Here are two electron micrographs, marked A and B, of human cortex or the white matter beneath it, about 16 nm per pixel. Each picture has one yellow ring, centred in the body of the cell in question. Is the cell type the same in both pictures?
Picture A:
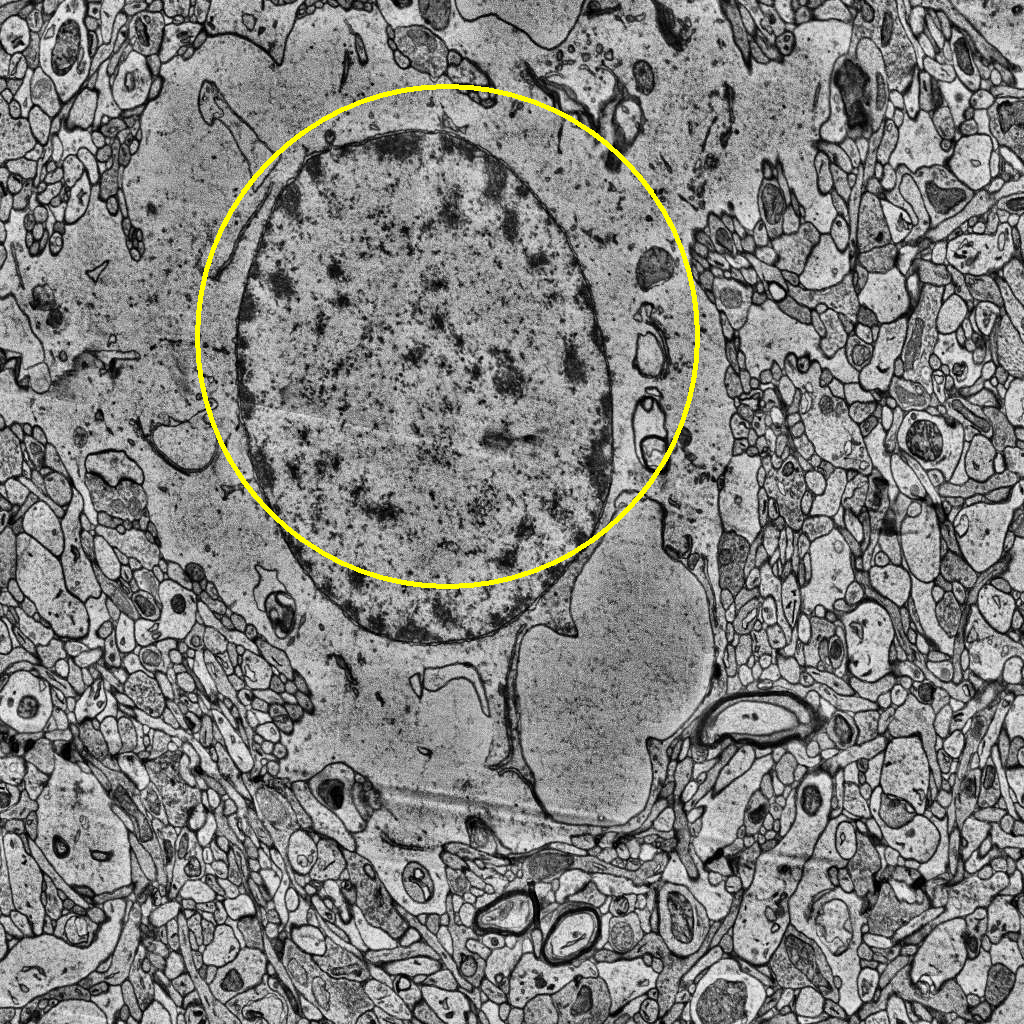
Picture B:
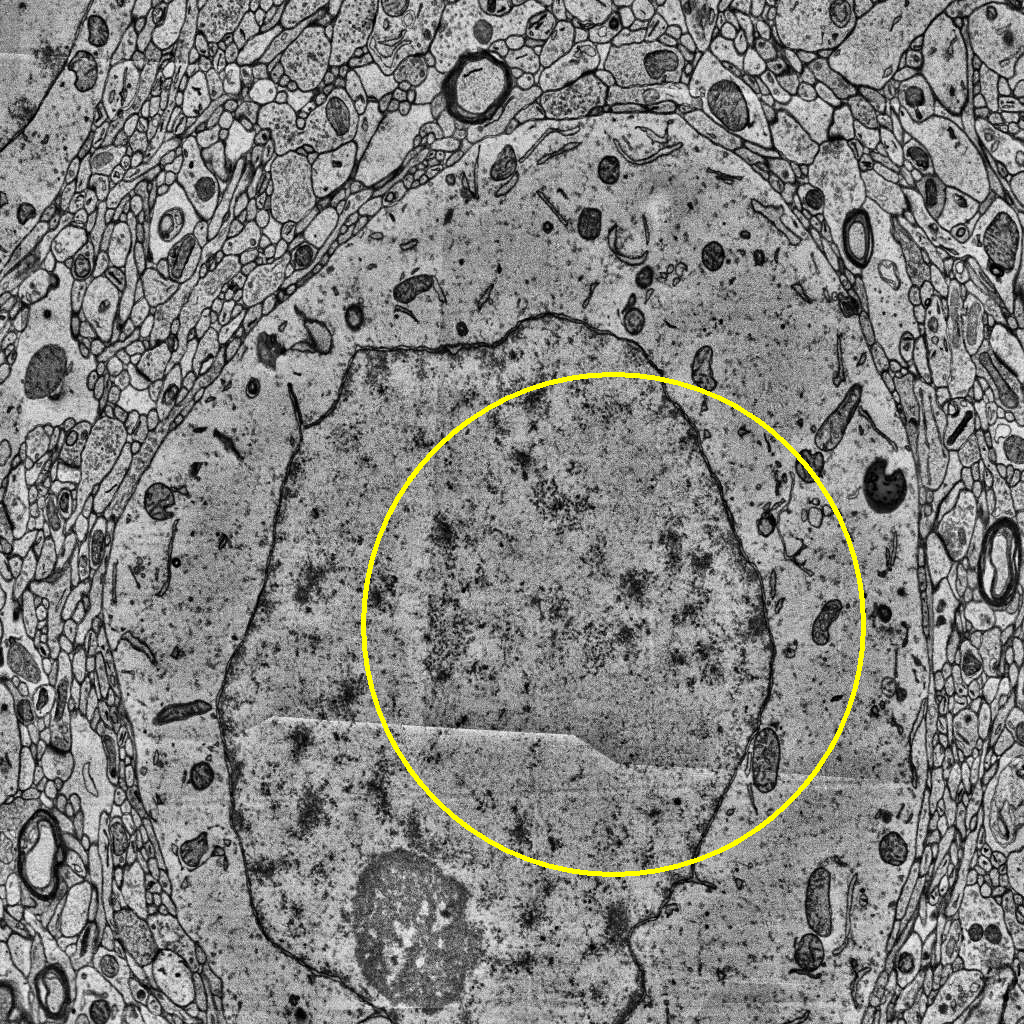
No; the cell in picture A is an astrocyte, while the one in picture B is a pyramidal neuron.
